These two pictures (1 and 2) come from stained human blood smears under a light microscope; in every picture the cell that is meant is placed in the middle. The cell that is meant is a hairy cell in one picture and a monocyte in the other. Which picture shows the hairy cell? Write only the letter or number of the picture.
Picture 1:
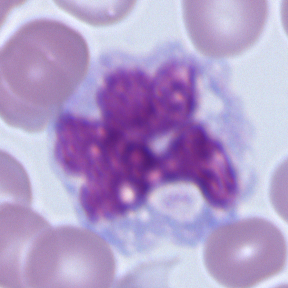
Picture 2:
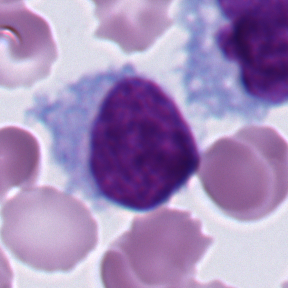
2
